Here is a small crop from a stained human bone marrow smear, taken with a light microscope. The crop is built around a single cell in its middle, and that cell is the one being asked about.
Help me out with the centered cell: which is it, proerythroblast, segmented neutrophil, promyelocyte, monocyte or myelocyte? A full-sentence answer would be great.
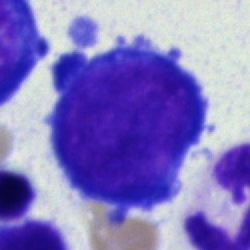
The target cell in the middle of the crop is a proerythroblast.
